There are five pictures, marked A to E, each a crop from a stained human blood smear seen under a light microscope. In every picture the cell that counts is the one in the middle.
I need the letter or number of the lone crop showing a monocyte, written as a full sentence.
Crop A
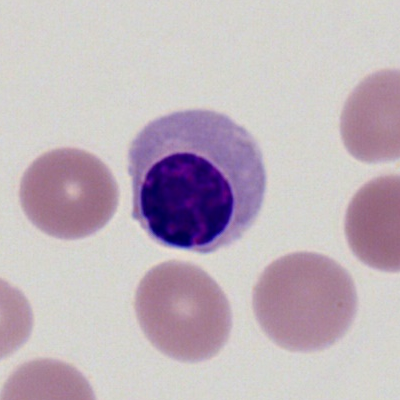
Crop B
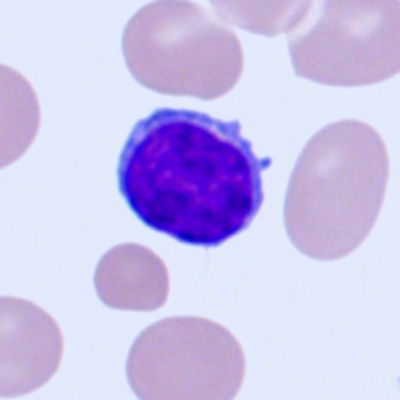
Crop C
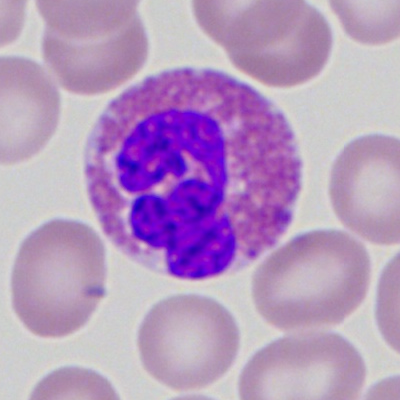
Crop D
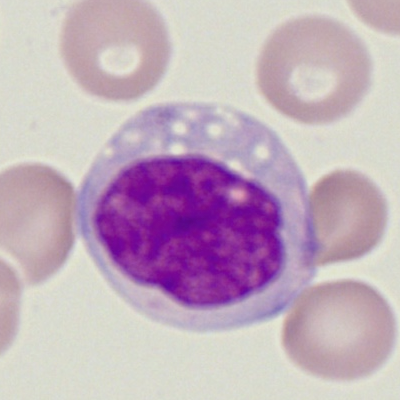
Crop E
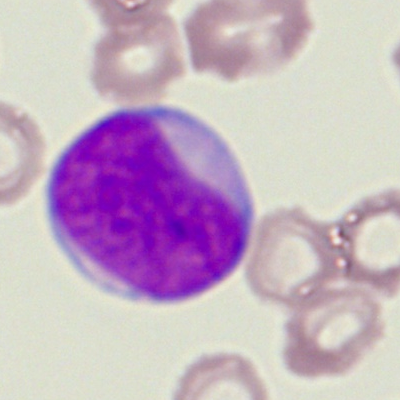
The one showing a monocyte is the crop labelled D.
